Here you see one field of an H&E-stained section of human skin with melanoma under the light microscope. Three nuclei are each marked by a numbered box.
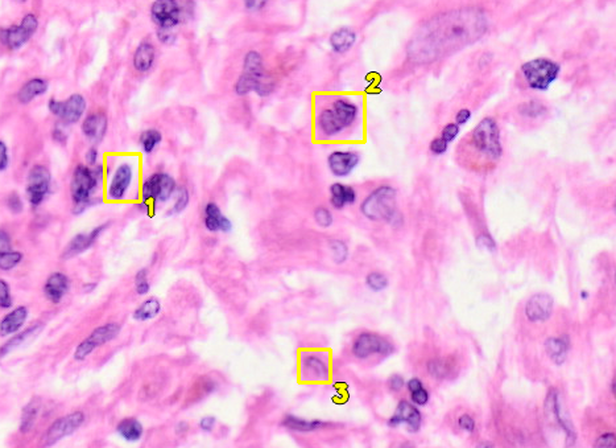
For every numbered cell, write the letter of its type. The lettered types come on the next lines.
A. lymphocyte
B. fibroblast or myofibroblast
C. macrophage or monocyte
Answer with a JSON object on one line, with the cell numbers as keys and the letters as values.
{"1": "A", "2": "C", "3": "C"}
